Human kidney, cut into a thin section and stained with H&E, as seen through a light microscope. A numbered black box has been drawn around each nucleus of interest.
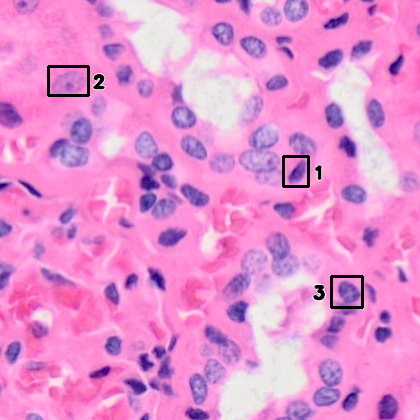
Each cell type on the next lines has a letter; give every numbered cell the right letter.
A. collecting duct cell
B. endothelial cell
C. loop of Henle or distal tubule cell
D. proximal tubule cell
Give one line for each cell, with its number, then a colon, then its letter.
1: A
2: D
3: A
